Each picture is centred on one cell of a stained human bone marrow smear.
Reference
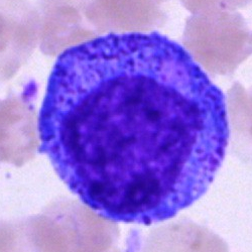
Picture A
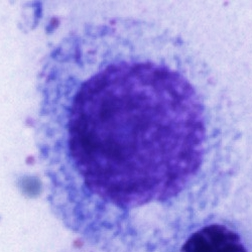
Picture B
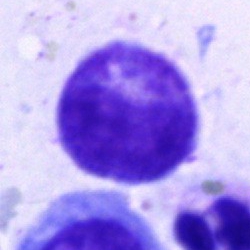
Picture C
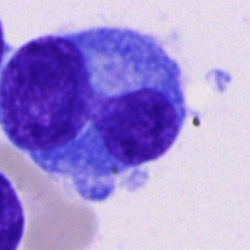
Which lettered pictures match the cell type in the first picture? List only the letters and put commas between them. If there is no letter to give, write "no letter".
A, B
